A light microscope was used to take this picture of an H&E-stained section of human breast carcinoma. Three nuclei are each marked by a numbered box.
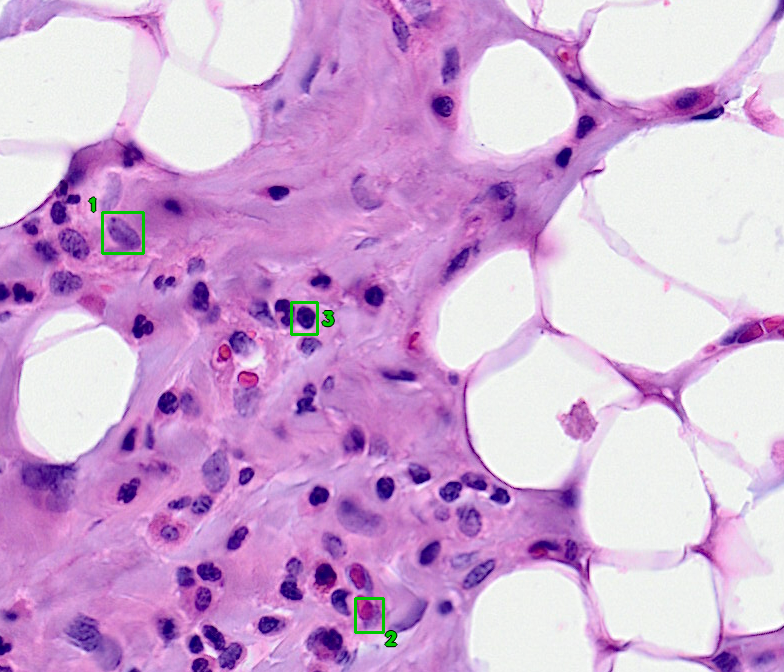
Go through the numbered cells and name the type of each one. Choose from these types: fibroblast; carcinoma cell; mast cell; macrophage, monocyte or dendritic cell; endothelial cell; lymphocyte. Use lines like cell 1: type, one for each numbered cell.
cell 1: fibroblast
cell 2: endothelial cell
cell 3: lymphocyte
